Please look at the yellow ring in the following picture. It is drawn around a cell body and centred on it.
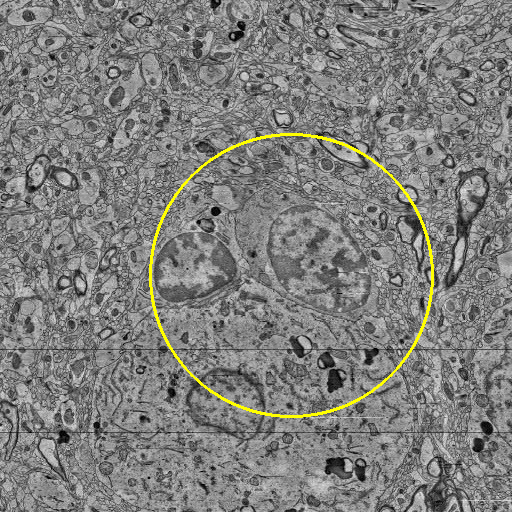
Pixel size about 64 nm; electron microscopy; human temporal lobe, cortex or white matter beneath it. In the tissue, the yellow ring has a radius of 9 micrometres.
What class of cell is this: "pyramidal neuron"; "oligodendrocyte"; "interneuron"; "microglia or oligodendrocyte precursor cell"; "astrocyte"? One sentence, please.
The ring surrounds the cell body of an oligodendrocyte.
